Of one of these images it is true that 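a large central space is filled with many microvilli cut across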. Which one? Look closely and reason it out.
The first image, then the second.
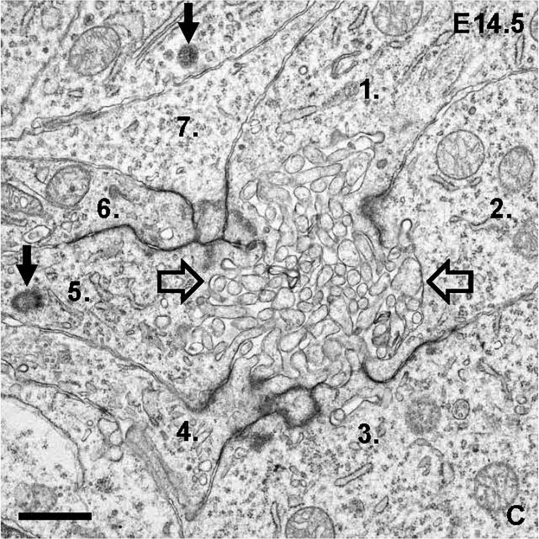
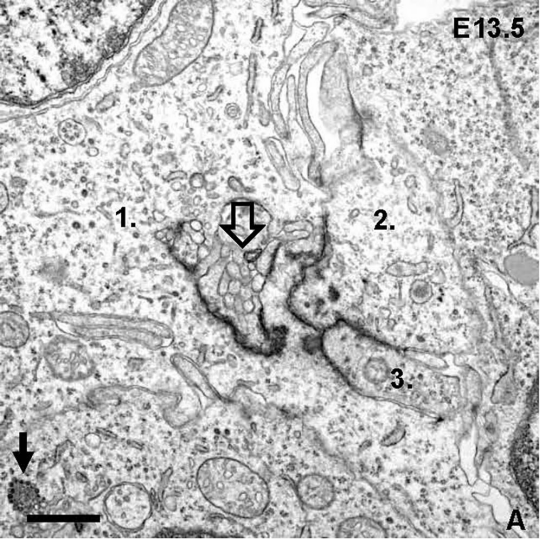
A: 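The first image. First image: a wide central space crowded with dozens of round membrane profiles, bordered by many cells. Second image: only a small narrow space with a few membrane profiles between cells.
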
